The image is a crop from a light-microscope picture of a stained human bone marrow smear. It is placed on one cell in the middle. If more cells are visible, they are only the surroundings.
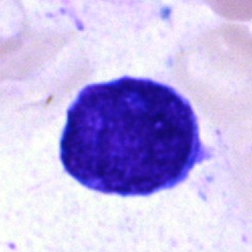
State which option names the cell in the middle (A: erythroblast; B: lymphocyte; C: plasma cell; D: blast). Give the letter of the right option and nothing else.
D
